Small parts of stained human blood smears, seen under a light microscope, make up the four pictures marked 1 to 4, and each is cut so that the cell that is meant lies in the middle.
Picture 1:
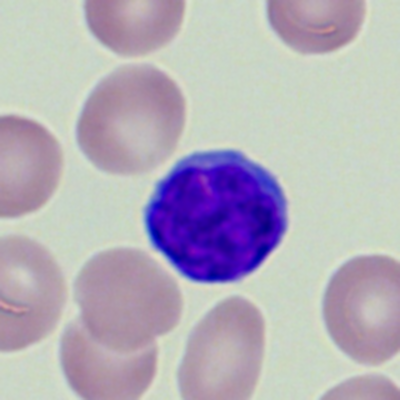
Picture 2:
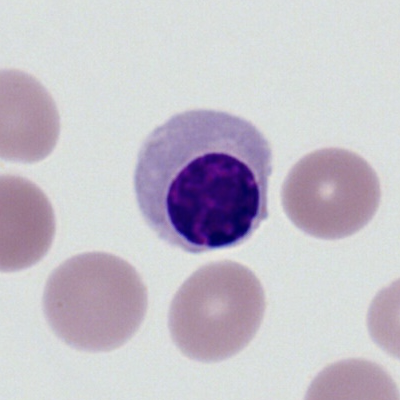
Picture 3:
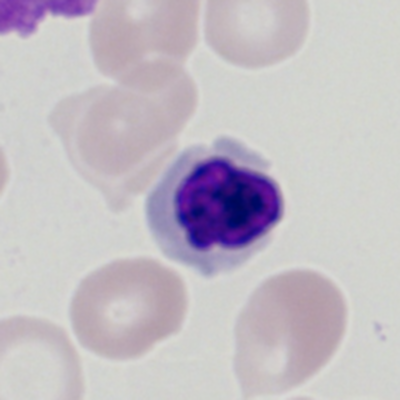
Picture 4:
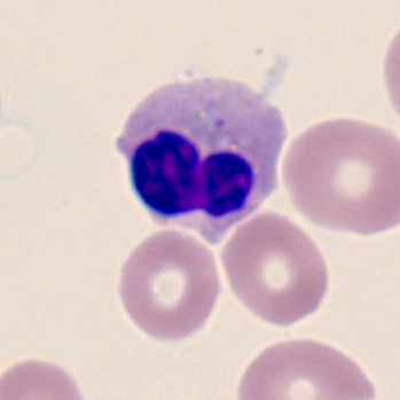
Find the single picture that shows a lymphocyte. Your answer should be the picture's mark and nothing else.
1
